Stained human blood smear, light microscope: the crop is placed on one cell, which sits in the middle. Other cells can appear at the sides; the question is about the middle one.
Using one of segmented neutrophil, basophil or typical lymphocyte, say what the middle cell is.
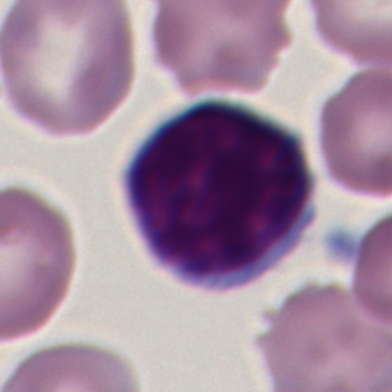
typical lymphocyte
